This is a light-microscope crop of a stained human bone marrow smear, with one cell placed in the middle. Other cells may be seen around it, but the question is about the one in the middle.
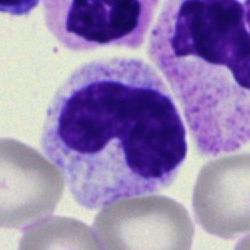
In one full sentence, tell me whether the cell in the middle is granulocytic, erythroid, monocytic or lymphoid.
The lineage represented by the central cell is granulocytic.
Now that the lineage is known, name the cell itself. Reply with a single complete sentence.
At the crop's centre, the cell is a band neutrophil.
